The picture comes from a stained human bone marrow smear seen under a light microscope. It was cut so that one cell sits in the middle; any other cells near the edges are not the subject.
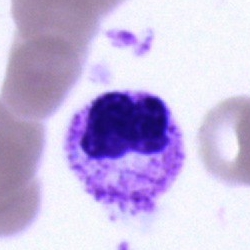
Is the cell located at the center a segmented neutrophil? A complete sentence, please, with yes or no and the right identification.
Yes, the cell at the middle of the frame is a segmented neutrophil.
